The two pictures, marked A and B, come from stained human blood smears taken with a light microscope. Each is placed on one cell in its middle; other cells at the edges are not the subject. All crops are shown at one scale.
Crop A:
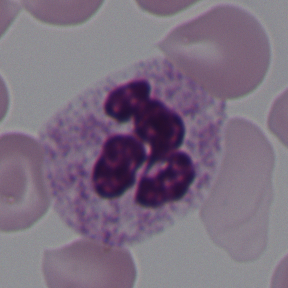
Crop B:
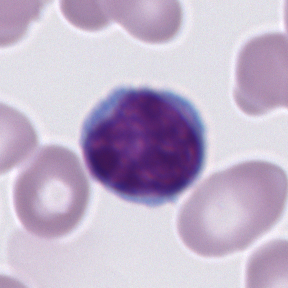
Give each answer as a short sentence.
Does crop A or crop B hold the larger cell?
It is the cell in crop A, about 2 times as large in area as the cell in crop B.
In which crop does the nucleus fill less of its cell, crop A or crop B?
Of the two, the nucleus in crop A leaves more room for cytoplasm.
